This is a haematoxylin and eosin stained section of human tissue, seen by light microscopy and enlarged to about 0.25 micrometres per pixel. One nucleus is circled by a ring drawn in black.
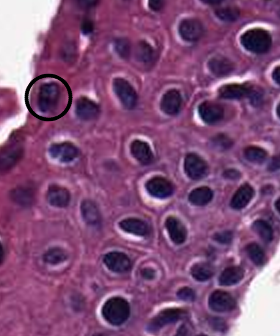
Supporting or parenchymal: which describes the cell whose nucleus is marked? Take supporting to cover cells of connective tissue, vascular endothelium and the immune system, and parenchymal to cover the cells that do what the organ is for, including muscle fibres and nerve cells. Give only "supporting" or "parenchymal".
parenchymal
